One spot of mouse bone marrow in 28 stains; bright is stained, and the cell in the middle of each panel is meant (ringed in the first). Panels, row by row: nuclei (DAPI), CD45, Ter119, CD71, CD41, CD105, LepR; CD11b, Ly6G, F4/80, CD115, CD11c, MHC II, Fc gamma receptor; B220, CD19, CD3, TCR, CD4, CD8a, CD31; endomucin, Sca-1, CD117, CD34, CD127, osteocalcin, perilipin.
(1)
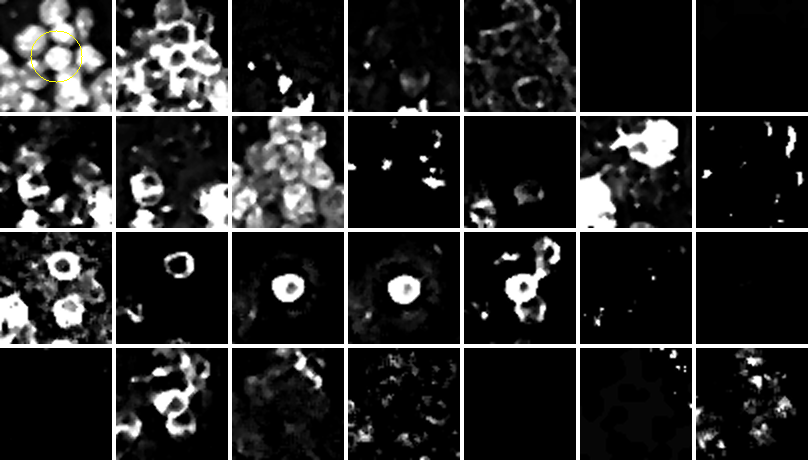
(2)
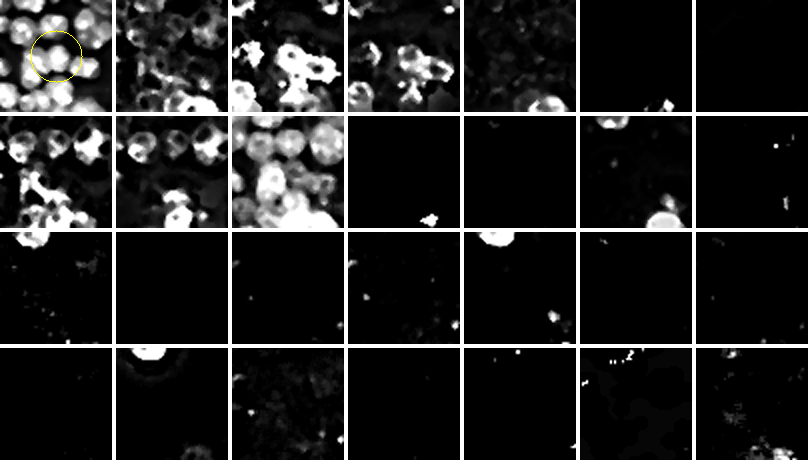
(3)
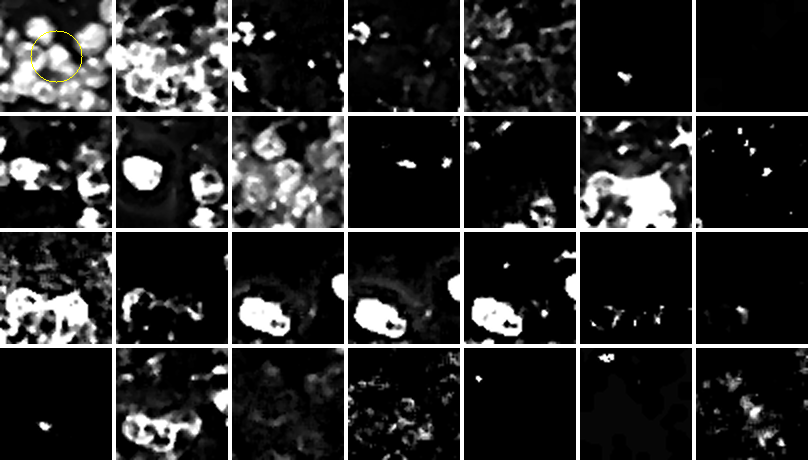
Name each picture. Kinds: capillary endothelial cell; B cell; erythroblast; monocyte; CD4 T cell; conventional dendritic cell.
1. CD4 T cell
2. erythroblast
3. monocyte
